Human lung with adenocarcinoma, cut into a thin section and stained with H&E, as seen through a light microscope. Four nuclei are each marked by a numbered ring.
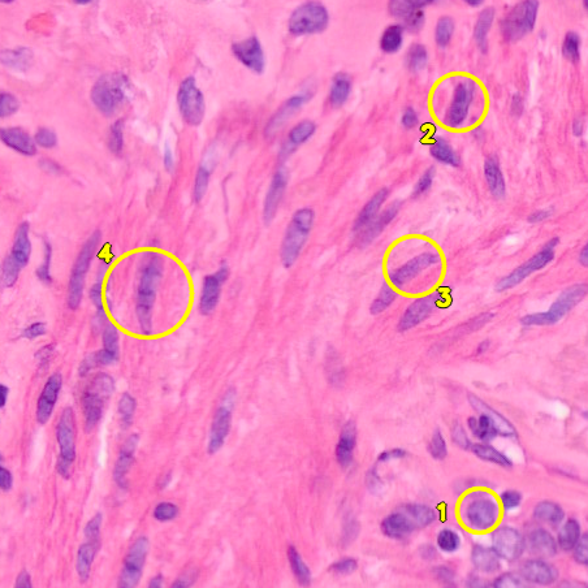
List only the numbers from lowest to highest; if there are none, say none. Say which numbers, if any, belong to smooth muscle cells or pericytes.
2, 3, 4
